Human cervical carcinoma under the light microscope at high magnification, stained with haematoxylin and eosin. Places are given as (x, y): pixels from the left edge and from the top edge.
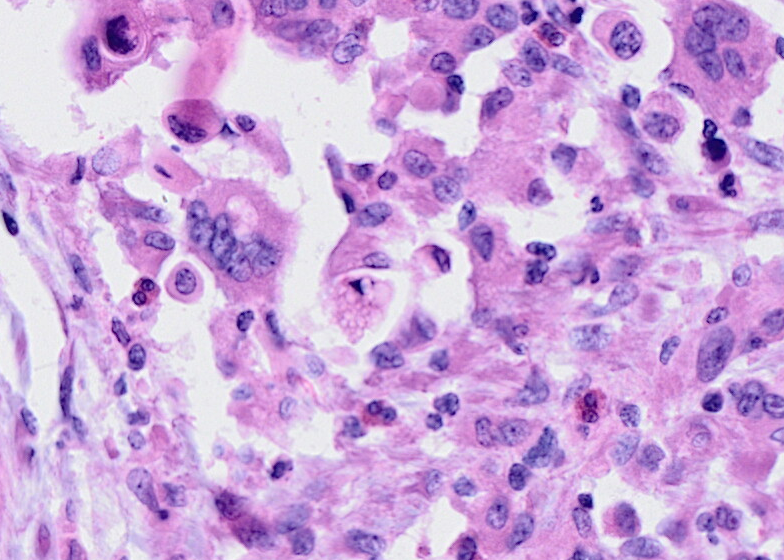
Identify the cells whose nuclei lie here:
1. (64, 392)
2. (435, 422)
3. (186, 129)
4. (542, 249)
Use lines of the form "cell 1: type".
cell 1: fibroblast
cell 2: lymphocyte
cell 3: squamous carcinoma cell
cell 4: lymphocyte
